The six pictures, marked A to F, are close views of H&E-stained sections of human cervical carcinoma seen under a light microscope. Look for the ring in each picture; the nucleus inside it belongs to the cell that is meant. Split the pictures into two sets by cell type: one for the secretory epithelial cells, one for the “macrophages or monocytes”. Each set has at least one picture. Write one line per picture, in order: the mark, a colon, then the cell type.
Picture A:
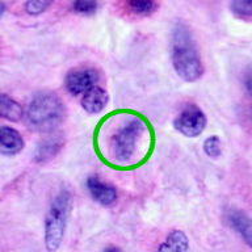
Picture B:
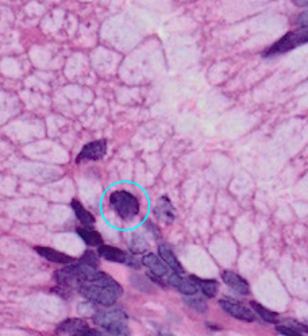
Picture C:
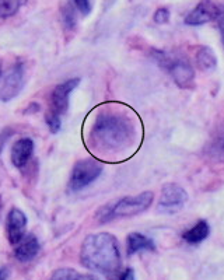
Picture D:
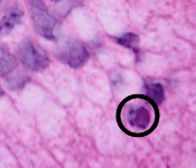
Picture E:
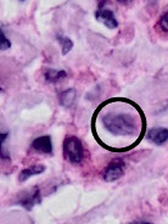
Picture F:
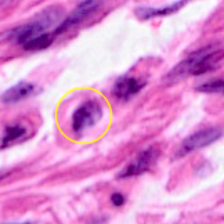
A: macrophage or monocyte
B: secretory epithelial cell
C: macrophage or monocyte
D: secretory epithelial cell
E: macrophage or monocyte
F: macrophage or monocyte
